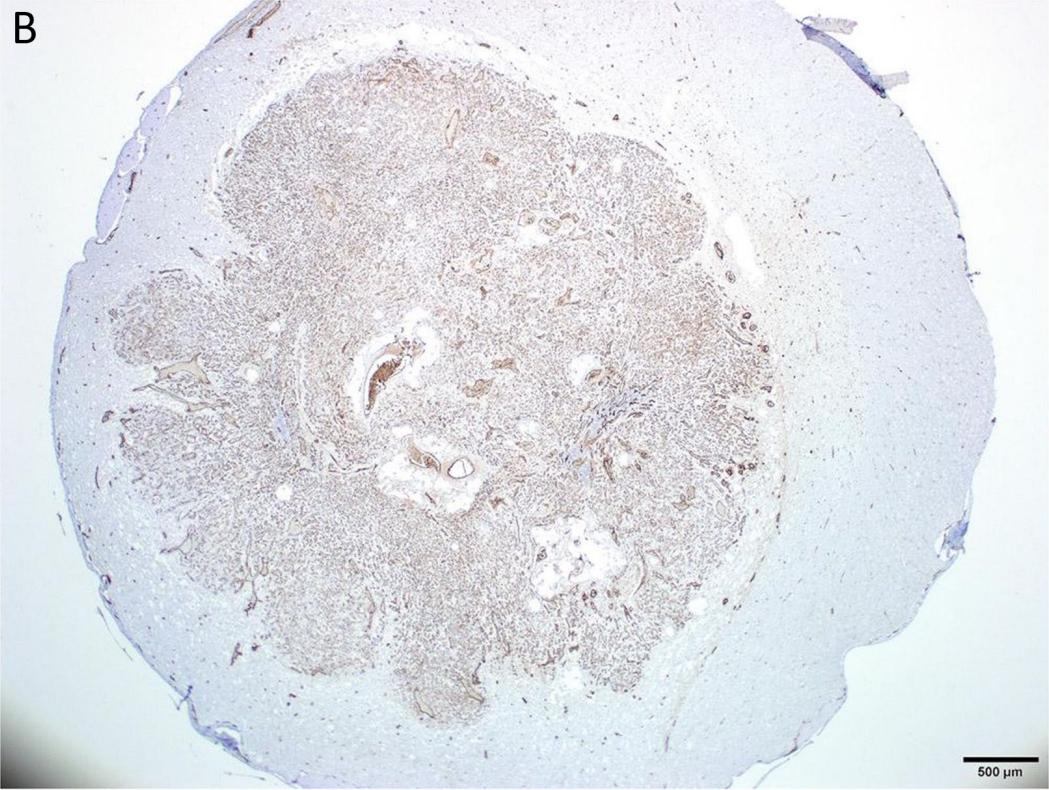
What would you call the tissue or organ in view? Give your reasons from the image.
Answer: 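A round cross-section bounded by a thin outer membrane. A broad pale rim of fibre tissue surrounds a central mass.
Answer: spinal cord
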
